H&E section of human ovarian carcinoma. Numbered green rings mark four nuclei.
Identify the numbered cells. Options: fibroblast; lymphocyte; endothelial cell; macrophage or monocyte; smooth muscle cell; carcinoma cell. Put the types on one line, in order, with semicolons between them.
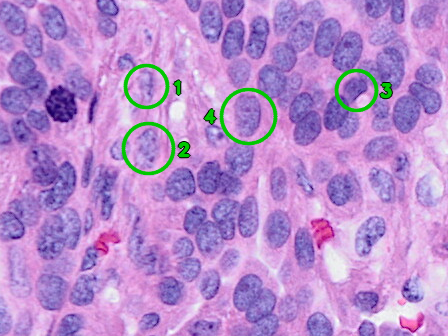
fibroblast; fibroblast; carcinoma cell; carcinoma cell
